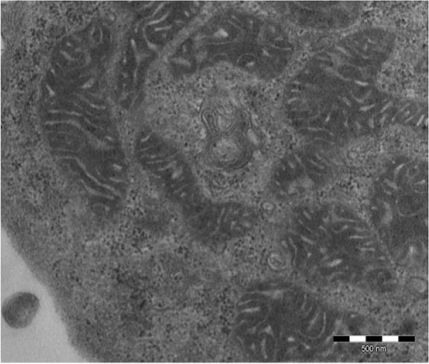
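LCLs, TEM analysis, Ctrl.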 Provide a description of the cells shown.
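Transmission electron micrograph of cell cytoplasm containing several mitochondria with a longitudinal, elongated shape. Each mitochondrion is bounded by a double membrane and its dark matrix is crossed by many densely packed, roughly parallel cristae seen as pale lines. The surrounding cytoplasm is finely granular with scattered dark ribosome-like dots, and a small whorl of membranes lies between the mitochondria. This is the normal appearance of mitochondria.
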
